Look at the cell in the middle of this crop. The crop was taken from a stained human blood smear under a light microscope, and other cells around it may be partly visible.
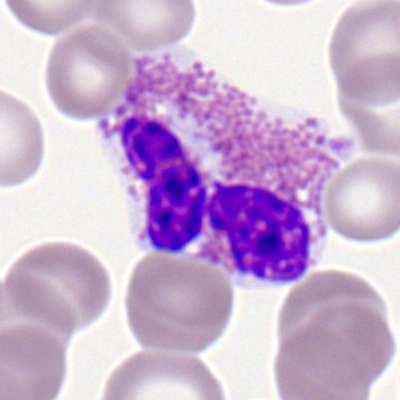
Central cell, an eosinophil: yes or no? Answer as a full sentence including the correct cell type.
Yes, as for the central cell, it is an eosinophil.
